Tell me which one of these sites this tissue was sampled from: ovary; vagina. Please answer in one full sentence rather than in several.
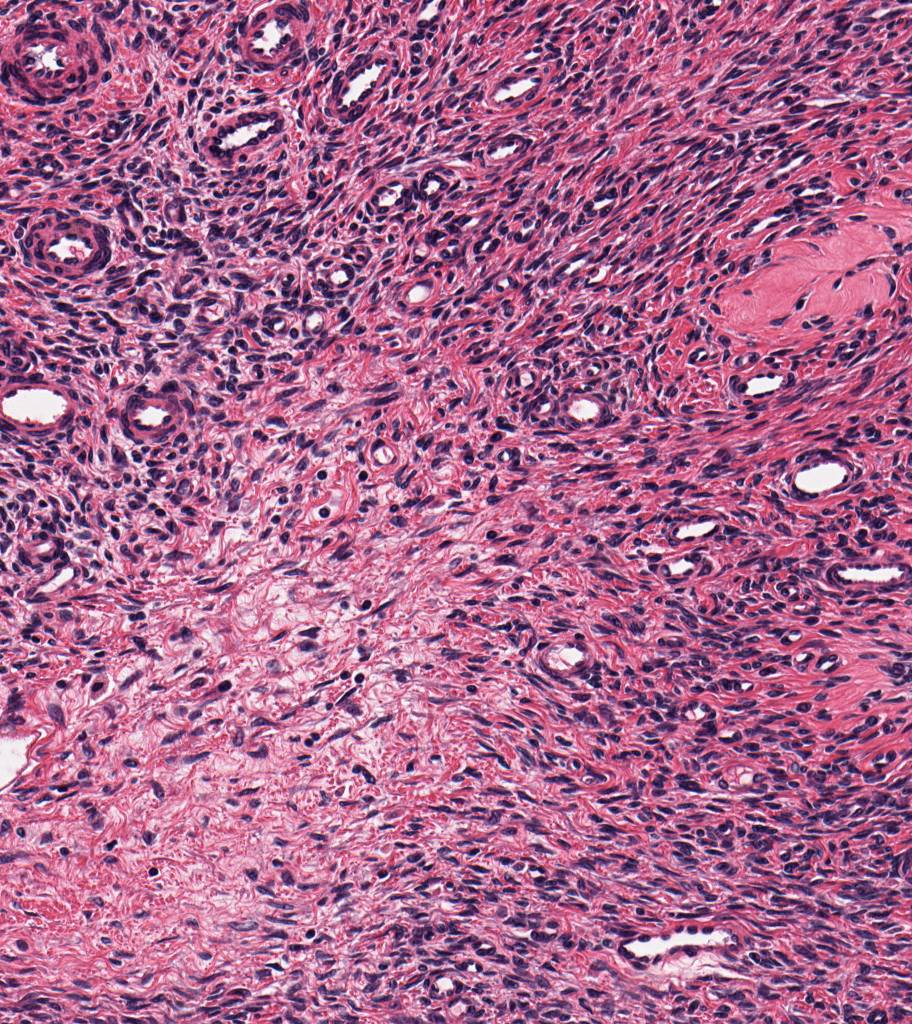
Tissue from the ovary was used for this section.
